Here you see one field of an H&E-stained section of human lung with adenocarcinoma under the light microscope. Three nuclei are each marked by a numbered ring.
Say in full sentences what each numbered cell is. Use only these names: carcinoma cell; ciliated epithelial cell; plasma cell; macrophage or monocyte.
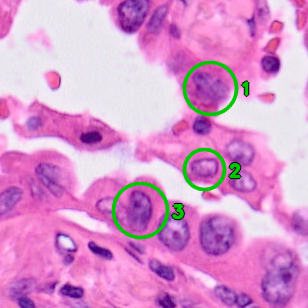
Cell 1 is a carcinoma cell, cell 2 is a macrophage or monocyte and cell 3 is a carcinoma cell.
